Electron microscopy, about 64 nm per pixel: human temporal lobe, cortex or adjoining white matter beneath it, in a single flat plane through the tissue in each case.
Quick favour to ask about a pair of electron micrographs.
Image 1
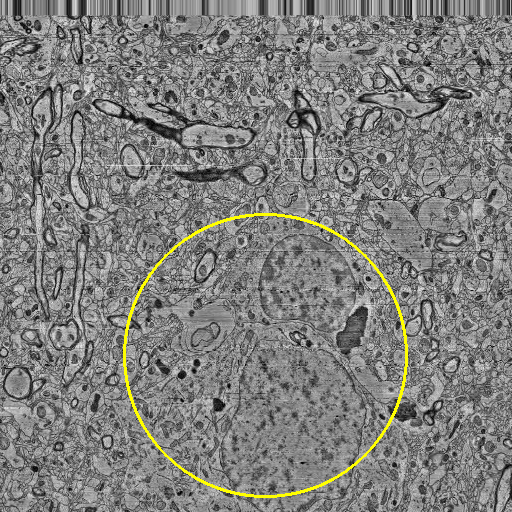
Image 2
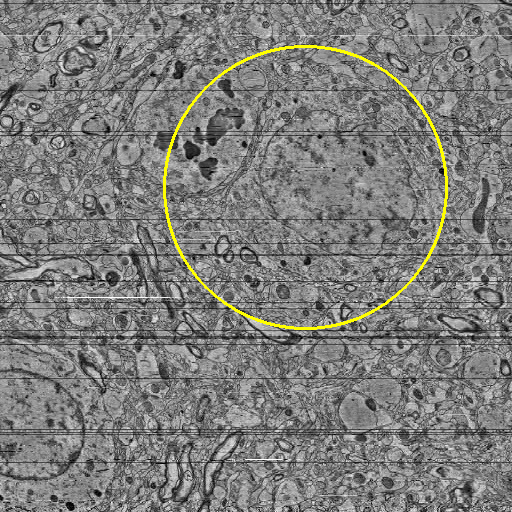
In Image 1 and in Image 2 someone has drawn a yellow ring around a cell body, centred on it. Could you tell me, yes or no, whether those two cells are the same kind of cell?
yes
